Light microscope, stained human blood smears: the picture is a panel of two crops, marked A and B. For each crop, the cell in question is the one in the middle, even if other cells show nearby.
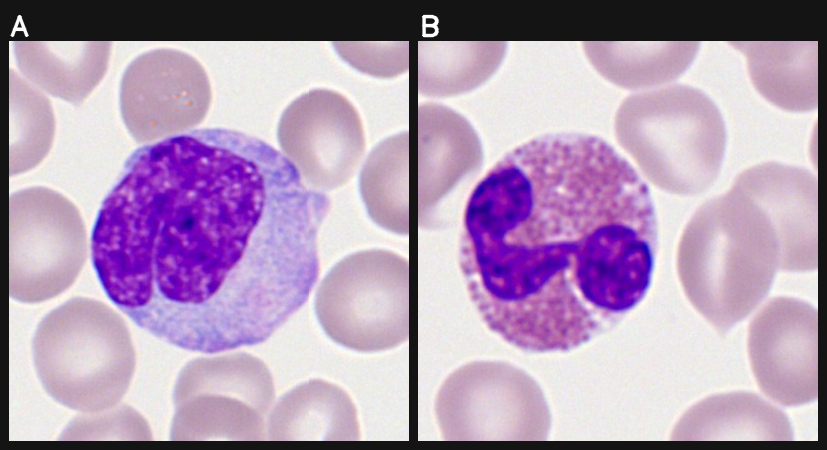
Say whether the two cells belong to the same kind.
no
